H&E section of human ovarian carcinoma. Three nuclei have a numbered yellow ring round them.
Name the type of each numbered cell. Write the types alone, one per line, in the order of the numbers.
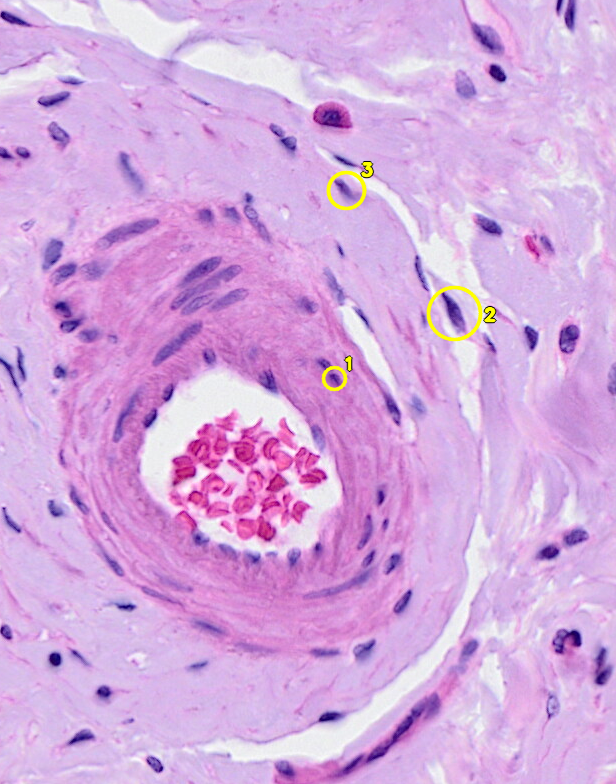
smooth muscle cell
fibroblast
fibroblast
